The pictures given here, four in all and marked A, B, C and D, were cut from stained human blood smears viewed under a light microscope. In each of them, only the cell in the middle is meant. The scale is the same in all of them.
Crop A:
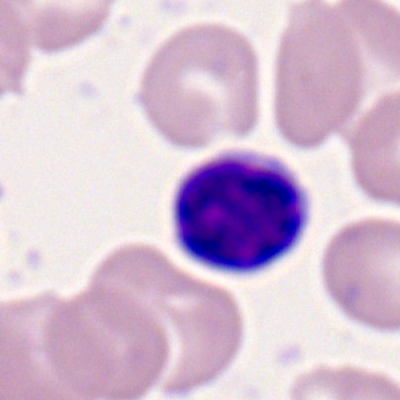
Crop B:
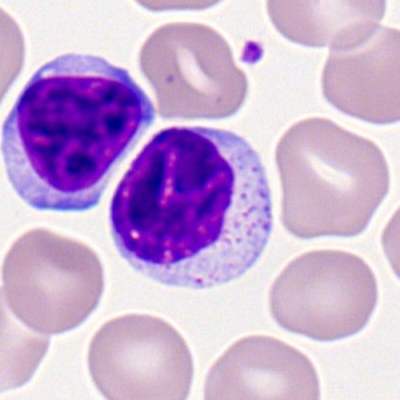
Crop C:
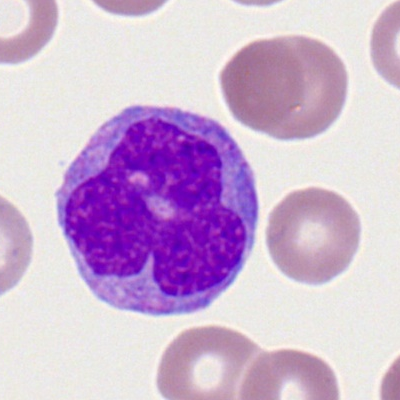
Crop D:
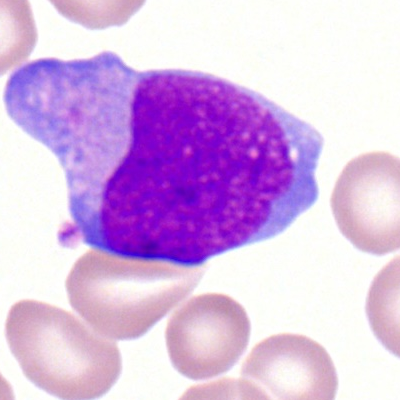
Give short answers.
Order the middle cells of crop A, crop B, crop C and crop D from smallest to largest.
A, B, C, D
